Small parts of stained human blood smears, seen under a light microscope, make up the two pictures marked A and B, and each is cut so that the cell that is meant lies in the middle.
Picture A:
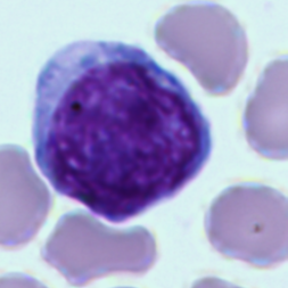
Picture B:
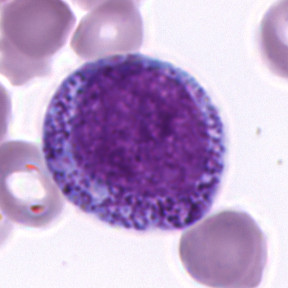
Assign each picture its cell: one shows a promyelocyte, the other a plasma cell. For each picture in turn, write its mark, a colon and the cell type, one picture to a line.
A: plasma cell
B: promyelocyte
